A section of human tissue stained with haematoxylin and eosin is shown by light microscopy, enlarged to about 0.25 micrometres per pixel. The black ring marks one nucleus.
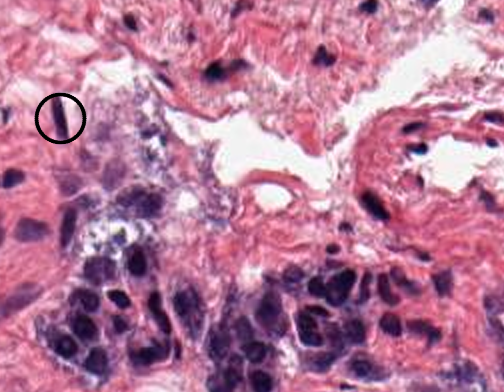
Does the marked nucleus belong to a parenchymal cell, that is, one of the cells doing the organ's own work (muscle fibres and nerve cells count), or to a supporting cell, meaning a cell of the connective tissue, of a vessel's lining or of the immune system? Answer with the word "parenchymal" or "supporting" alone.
supporting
